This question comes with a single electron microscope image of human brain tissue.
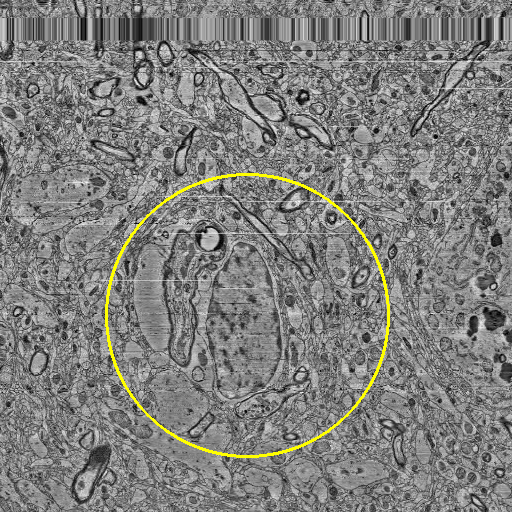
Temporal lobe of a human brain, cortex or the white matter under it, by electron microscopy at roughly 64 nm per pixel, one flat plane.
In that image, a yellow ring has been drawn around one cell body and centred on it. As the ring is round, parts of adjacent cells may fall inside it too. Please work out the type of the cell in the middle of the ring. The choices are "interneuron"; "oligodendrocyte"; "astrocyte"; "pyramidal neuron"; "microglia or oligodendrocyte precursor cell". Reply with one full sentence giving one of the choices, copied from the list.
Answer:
Of the choices, a microglial cell or oligodendrocyte precursor cell is the cell sitting in the middle of the ring.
